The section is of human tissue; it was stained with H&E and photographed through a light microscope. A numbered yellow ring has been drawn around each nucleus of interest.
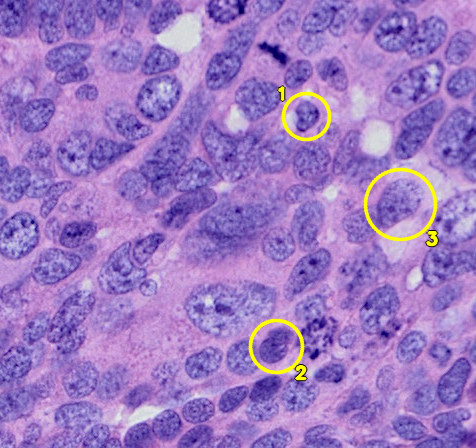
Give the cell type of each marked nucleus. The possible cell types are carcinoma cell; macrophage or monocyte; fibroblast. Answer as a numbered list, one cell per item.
1. macrophage or monocyte
2. carcinoma cell
3. carcinoma cell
